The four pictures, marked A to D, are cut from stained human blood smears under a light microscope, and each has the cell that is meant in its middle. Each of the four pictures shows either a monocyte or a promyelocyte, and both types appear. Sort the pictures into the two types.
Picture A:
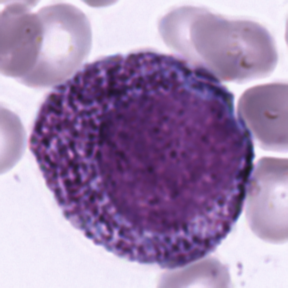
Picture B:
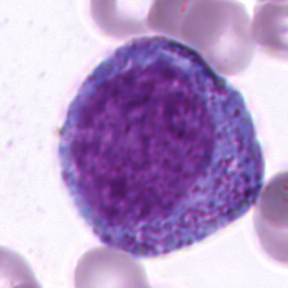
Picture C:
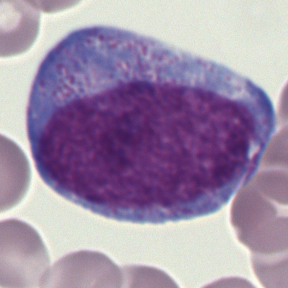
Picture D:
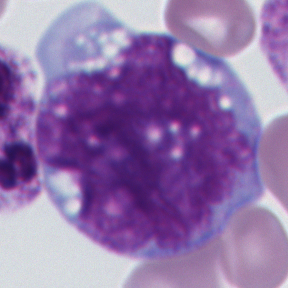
A: promyelocyte
B: promyelocyte
C: promyelocyte
D: monocyte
